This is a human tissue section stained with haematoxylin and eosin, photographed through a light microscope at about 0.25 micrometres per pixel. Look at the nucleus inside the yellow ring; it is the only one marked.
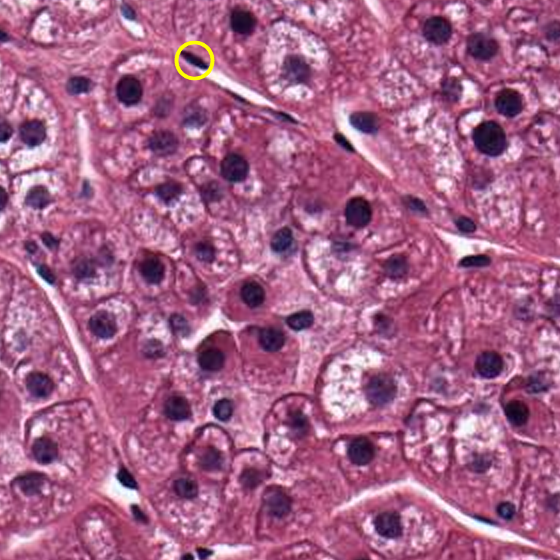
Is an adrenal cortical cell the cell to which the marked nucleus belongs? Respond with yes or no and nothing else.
no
